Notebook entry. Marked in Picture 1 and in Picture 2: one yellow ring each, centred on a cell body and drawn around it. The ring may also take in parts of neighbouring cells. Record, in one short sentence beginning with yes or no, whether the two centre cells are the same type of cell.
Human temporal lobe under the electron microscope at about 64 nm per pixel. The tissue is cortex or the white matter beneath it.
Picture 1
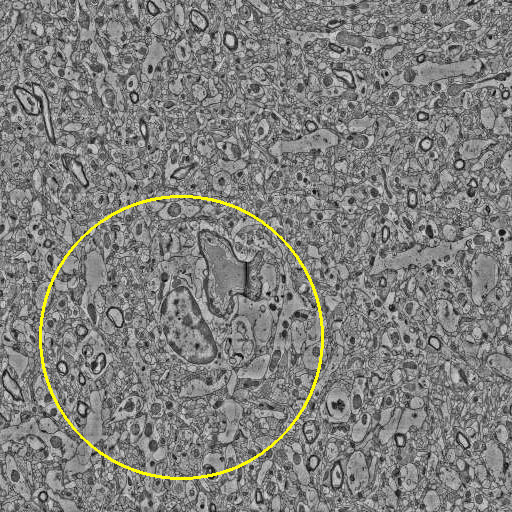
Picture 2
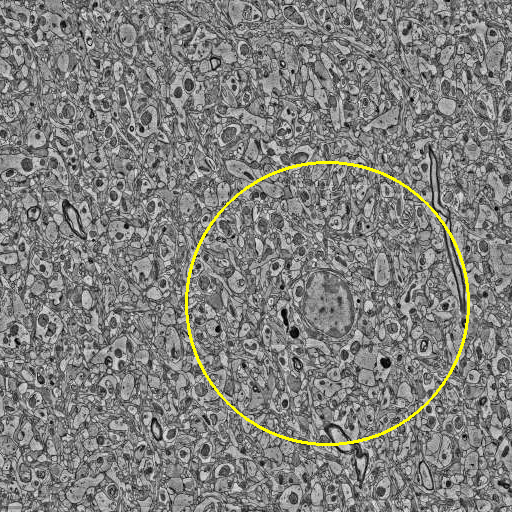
Yes, both are the same type of cell.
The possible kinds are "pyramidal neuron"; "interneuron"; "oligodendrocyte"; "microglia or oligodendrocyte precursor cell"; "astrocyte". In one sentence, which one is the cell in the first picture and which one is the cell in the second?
Both the first and the second picture show a microglial cell or oligodendrocyte precursor cell in the ring.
